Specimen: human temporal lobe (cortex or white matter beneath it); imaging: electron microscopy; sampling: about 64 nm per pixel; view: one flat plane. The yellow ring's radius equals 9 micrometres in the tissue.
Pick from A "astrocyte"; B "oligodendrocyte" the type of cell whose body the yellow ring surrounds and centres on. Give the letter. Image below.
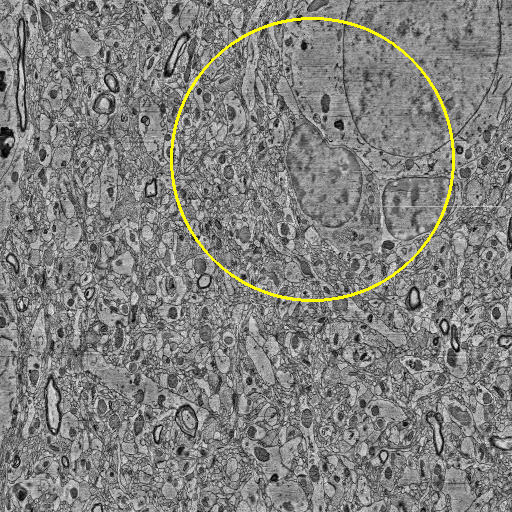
B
